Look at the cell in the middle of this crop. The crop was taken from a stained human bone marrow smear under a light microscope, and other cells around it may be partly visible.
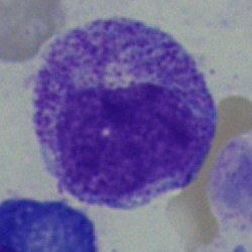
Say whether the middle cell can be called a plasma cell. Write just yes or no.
no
